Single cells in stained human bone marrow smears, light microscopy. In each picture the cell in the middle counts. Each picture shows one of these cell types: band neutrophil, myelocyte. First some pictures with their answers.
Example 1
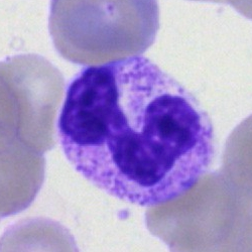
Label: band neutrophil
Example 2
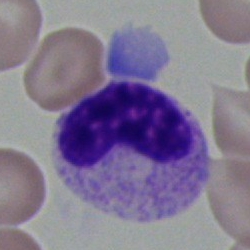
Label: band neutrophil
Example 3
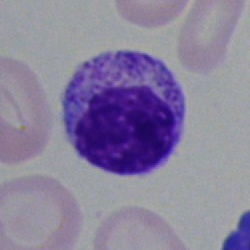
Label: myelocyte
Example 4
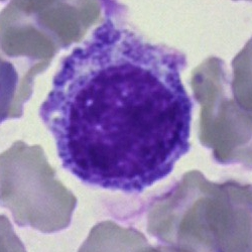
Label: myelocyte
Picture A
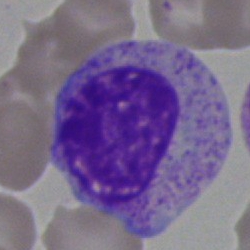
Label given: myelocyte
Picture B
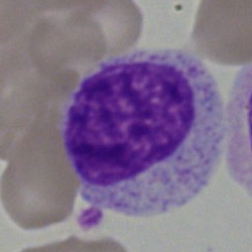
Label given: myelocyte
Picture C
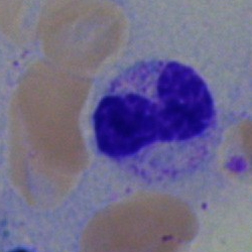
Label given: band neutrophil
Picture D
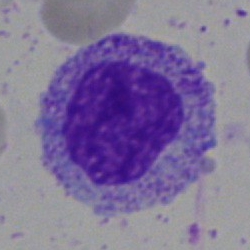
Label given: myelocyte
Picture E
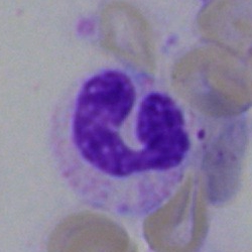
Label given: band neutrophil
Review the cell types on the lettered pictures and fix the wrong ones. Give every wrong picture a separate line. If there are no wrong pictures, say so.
No label is wrong.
